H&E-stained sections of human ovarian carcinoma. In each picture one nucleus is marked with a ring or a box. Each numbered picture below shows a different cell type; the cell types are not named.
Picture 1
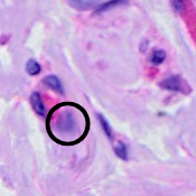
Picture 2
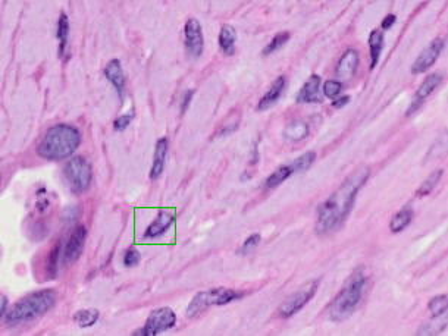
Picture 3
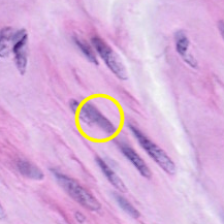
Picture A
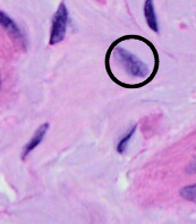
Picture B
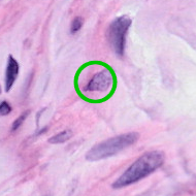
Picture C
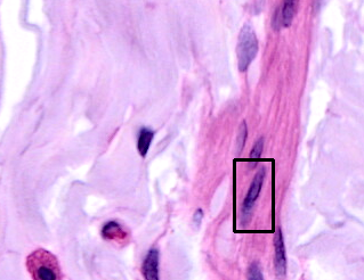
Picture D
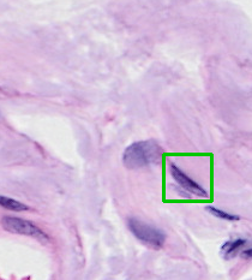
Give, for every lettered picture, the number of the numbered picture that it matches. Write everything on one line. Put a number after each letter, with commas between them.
A 2, B 3, C 3, D 2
